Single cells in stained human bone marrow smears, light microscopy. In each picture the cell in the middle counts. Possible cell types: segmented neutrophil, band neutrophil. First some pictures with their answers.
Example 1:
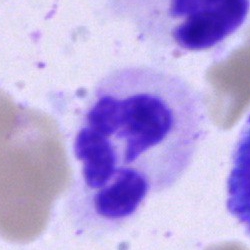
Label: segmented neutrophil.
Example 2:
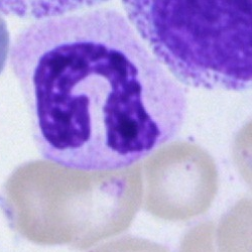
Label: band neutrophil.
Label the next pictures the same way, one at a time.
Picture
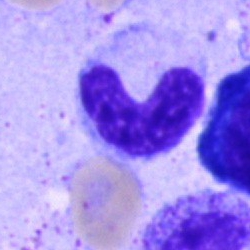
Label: band neutrophil.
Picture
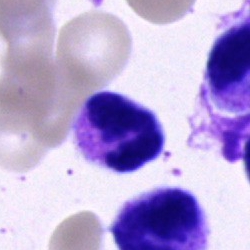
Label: segmented neutrophil.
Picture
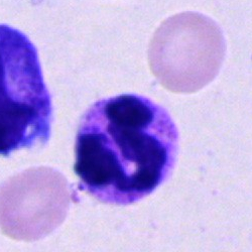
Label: segmented neutrophil.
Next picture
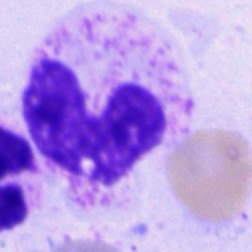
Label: band neutrophil.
